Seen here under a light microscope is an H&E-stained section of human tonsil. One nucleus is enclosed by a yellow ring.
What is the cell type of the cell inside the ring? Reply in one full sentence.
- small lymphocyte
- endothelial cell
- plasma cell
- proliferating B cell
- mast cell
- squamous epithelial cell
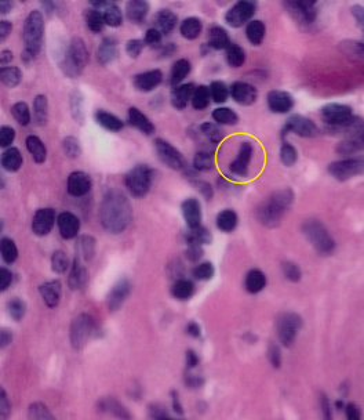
Students should answer that the cell inside the ring is a mast cell.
